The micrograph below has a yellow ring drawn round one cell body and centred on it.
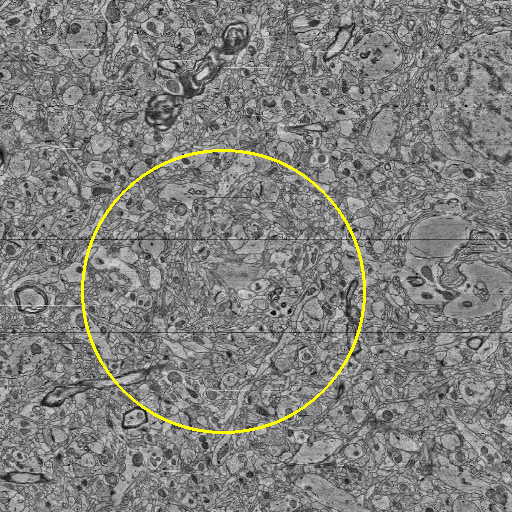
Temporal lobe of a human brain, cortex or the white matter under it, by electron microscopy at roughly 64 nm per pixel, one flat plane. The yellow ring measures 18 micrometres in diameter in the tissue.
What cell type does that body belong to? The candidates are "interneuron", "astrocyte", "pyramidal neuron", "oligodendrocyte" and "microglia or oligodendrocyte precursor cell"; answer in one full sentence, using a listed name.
This is an oligodendrocyte, the cell whose body lies at the centre of the ring.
